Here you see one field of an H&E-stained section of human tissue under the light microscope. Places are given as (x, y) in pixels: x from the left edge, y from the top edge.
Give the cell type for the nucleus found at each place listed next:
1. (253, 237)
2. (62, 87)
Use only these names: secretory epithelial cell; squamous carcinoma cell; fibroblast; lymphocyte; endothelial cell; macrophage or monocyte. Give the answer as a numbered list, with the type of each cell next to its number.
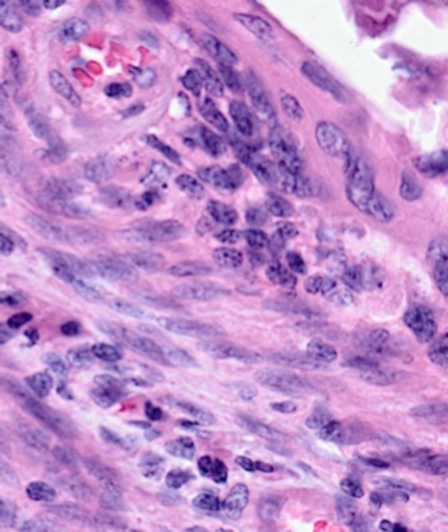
1. squamous carcinoma cell
2. endothelial cell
